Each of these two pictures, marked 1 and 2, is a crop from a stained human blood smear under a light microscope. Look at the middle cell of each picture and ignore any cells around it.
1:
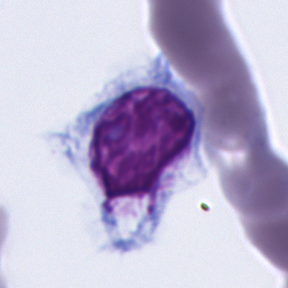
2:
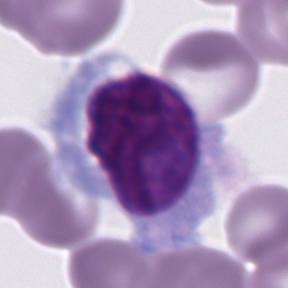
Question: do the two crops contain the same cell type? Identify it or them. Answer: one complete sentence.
Yes, in the two crops, hairy cells are the cells at the centre.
